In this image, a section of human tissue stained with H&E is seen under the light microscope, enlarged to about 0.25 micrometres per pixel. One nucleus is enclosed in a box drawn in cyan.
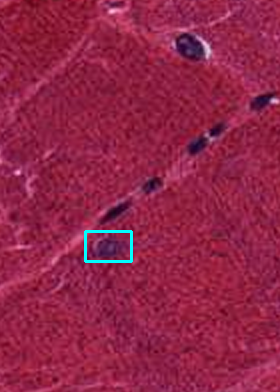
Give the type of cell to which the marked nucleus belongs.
skeletal muscle fibre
